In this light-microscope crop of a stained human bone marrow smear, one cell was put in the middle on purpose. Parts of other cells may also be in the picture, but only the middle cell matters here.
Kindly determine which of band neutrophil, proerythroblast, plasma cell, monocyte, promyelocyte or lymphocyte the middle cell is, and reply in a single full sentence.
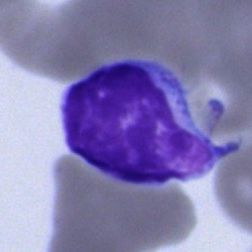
What sits at the centre of this crop is a lymphocyte.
